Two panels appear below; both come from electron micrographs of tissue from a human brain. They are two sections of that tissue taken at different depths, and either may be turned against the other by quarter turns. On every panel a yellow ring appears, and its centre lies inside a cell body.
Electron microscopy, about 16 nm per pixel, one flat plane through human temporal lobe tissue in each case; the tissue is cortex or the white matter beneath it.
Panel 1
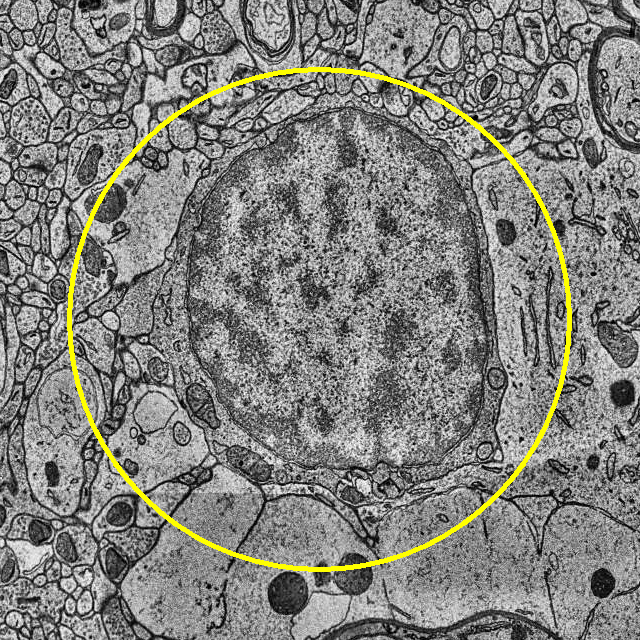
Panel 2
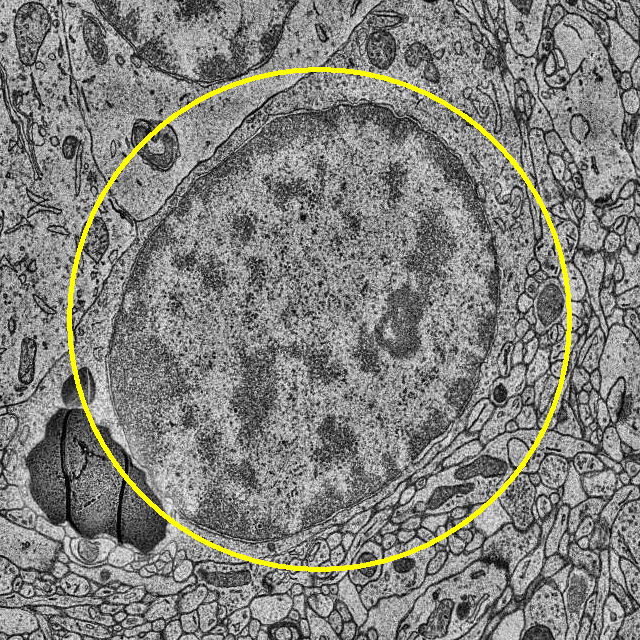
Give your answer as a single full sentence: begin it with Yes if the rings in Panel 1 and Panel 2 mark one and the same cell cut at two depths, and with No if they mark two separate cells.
No, the pair of rings marks a pair of different cells.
